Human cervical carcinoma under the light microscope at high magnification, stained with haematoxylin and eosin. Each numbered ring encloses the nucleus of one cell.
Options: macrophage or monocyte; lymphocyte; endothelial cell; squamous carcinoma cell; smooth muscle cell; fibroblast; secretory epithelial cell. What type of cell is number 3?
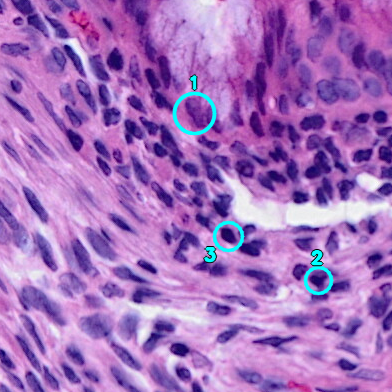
lymphocyte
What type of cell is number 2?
lymphocyte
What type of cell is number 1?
secretory epithelial cell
